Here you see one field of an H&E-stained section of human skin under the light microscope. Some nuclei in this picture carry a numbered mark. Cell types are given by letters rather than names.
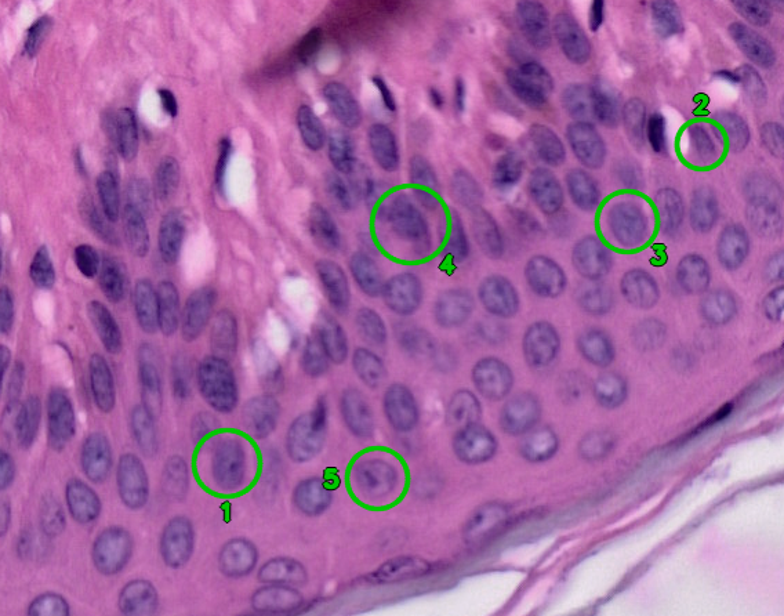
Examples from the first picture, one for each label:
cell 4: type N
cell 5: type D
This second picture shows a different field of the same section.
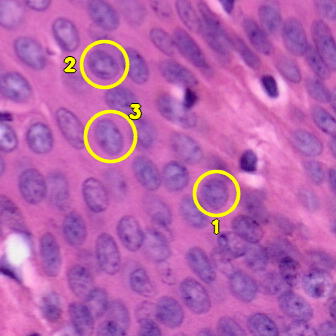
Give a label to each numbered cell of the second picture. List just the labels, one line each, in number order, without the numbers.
type N
type D
type D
